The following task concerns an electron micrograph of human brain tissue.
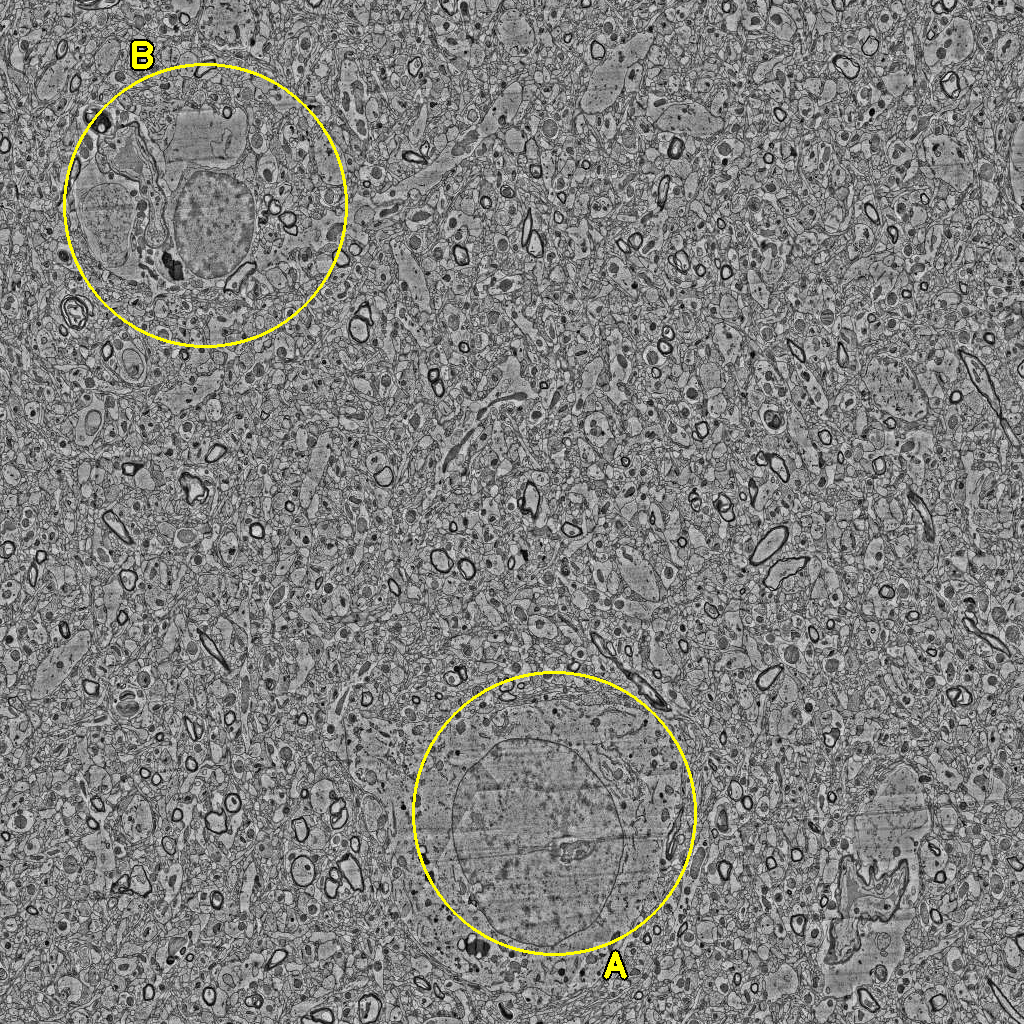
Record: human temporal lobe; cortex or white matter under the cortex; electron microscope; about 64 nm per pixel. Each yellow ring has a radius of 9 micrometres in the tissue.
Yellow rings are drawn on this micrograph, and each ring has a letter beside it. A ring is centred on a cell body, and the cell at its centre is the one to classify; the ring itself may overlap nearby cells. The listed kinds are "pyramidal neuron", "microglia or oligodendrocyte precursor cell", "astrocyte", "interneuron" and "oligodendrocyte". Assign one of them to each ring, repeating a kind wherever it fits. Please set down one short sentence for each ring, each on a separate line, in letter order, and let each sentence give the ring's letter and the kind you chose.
The cell ringed as A is a pyramidal neuron.
The cell ringed as B is an oligodendrocyte.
